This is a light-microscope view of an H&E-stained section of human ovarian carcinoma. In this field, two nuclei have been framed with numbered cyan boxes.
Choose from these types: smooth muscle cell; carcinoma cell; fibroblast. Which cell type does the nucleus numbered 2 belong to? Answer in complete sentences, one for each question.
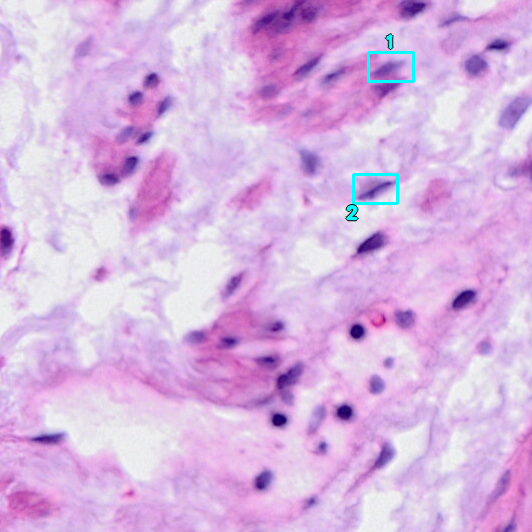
Looking at the numbered marks, cell 2 is a fibroblast.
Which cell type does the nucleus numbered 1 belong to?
Cell 1, as marked in the section, is a smooth muscle cell.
